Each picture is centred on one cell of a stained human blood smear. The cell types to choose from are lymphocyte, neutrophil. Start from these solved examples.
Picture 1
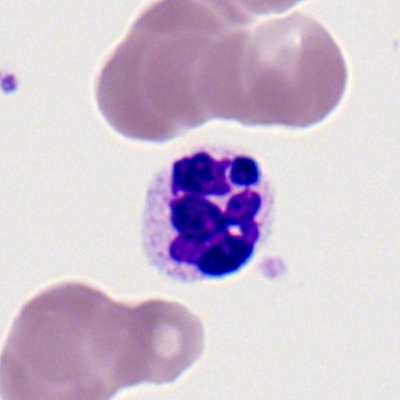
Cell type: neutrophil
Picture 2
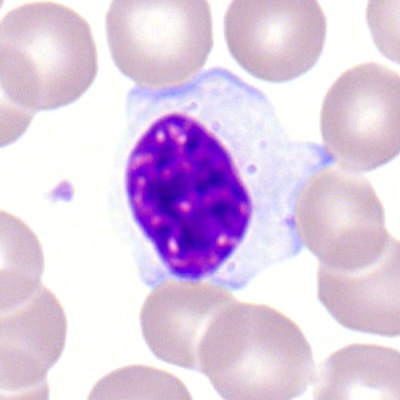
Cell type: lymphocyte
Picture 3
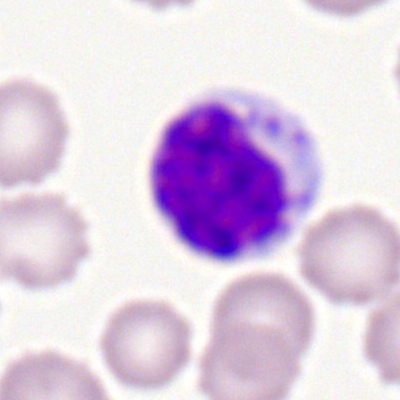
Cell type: lymphocyte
